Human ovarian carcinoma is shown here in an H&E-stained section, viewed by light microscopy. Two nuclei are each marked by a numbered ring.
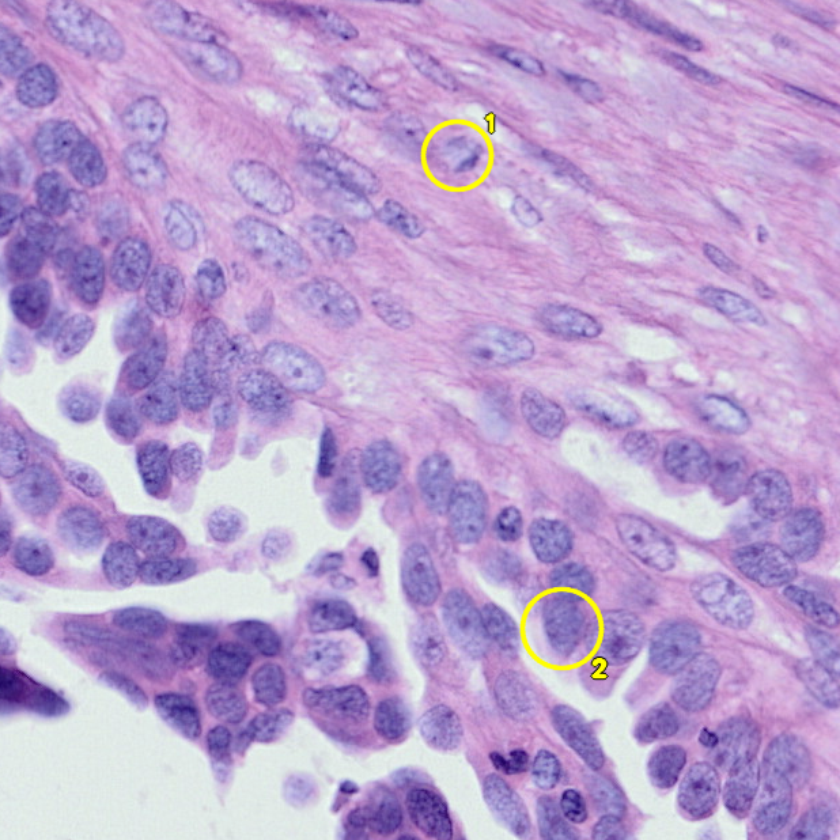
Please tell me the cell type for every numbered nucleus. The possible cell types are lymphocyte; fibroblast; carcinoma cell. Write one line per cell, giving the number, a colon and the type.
1: fibroblast
2: carcinoma cell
